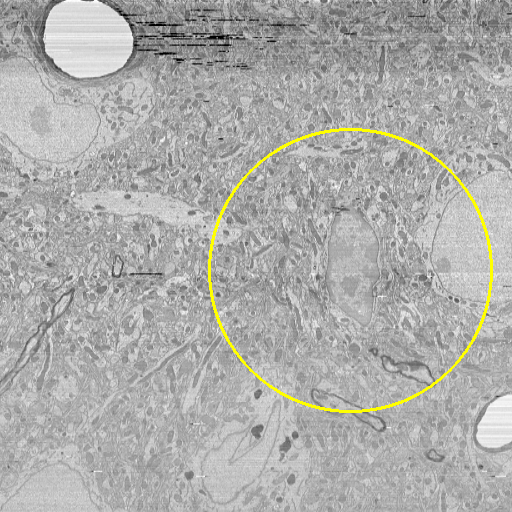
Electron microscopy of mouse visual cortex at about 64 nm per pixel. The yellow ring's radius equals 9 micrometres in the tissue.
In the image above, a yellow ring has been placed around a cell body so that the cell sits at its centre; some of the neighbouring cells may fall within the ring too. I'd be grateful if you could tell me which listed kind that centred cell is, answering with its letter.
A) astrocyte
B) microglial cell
B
